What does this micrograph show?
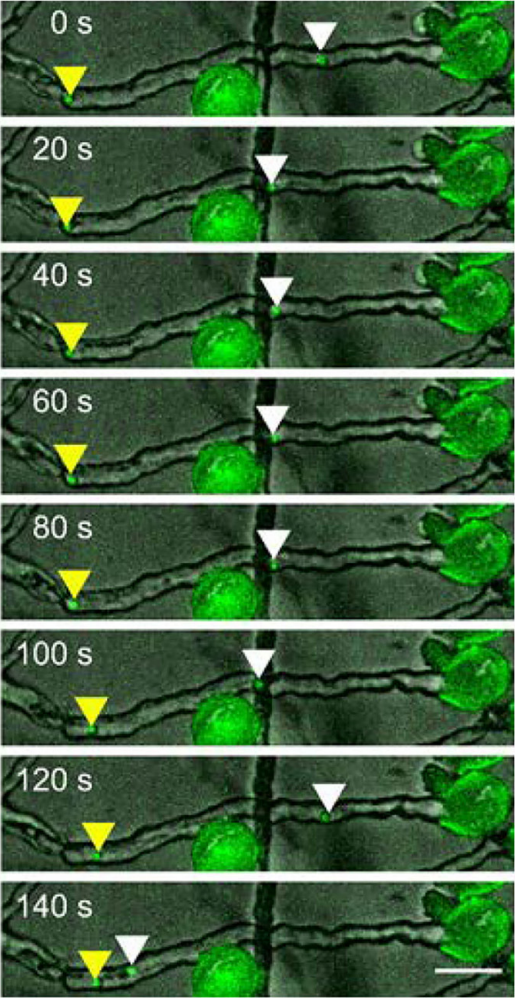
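Time-lapse frames of a long, narrow pollen tube running horizontally across the field, with sperm cells seen as small bright green dots inside it. Two dots lie well apart: one near the left end of the tube stays nearly in place, the other, further right, moves along the tube back and forth between frames and in the last frame lies close beside the first. The tube wall is outlined as a dark double line on a grey background. Large round green bodies lie outside the tube below and to the right; a dark vertical line crosses the field.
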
